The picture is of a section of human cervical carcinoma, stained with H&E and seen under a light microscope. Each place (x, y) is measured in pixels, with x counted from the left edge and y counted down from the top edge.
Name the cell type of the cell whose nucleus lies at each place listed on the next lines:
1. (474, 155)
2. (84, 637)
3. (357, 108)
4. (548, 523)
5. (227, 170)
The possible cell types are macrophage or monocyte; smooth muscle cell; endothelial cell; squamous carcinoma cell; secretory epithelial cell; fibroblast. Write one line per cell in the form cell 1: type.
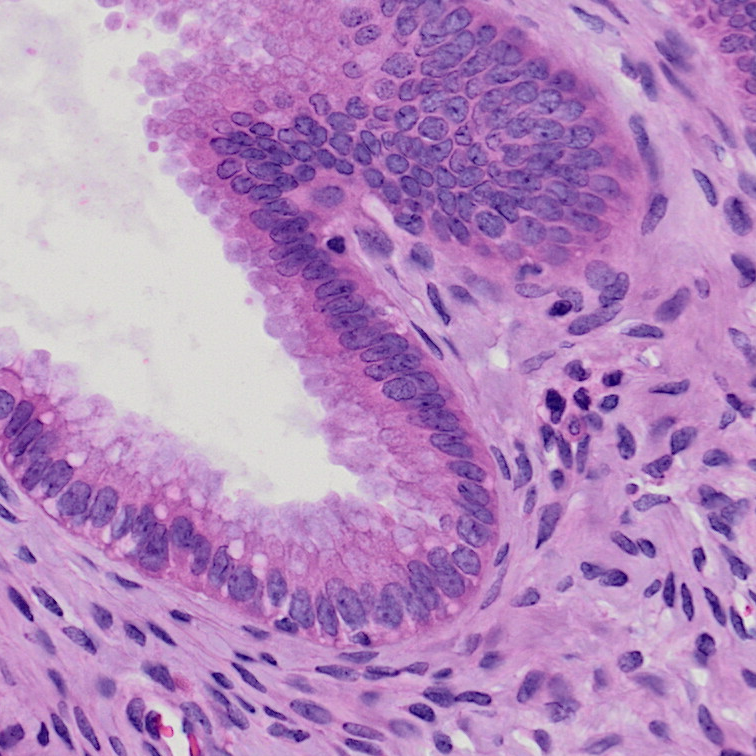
cell 1: secretory epithelial cell
cell 2: fibroblast
cell 3: secretory epithelial cell
cell 4: fibroblast
cell 5: secretory epithelial cell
